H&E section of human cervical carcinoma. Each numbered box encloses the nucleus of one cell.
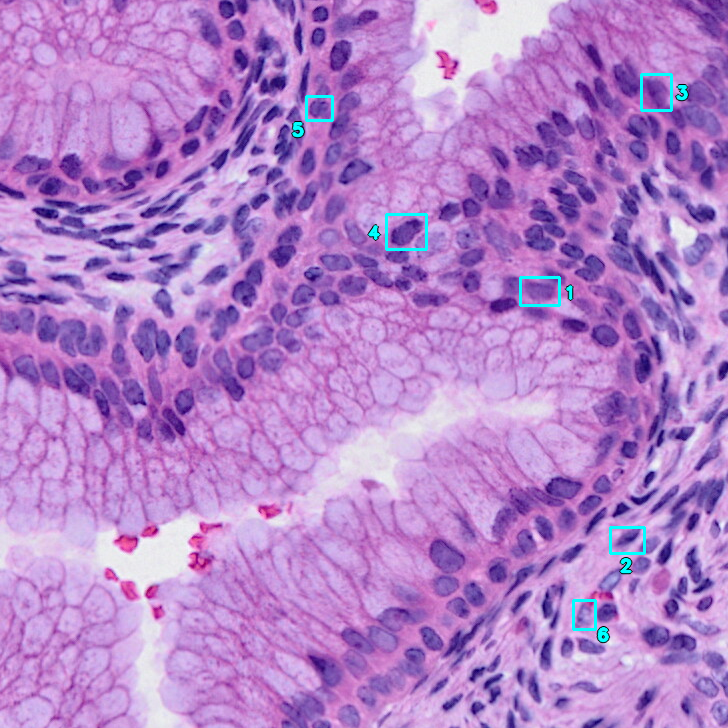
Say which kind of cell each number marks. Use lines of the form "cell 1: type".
cell 1: secretory epithelial cell
cell 2: fibroblast
cell 3: secretory epithelial cell
cell 4: secretory epithelial cell
cell 5: secretory epithelial cell
cell 6: endothelial cell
